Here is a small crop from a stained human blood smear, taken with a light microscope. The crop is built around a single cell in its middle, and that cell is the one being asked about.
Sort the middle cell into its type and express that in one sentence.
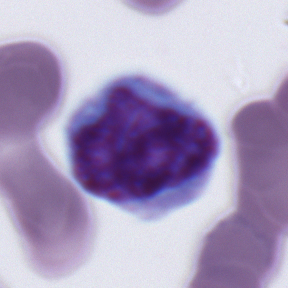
At the middle of the frame sits a monocyte.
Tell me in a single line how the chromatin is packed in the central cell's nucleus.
Chromatin in the nucleus here is coarsely clumped.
